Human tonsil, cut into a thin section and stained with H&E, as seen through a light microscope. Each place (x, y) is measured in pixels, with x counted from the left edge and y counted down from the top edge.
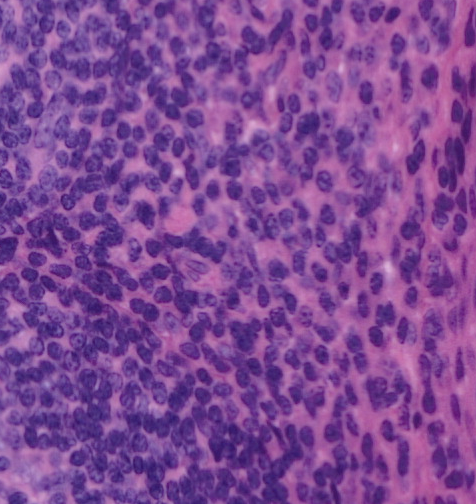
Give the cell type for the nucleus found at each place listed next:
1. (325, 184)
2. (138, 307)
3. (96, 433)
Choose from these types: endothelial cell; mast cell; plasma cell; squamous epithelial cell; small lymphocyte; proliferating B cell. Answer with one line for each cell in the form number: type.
1: plasma cell
2: small lymphocyte
3: small lymphocyte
